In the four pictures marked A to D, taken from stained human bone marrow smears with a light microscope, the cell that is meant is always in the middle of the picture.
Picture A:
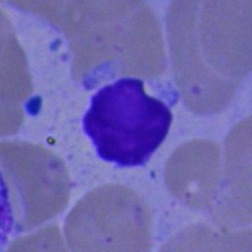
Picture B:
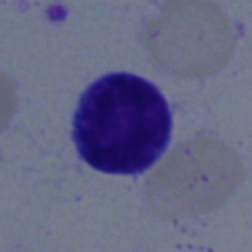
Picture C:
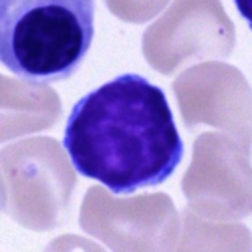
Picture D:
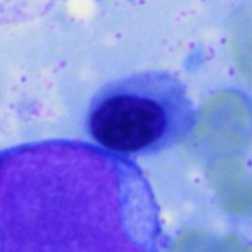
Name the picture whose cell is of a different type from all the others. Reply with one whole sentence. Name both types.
The different one is picture D; it shows an erythroblast, whereas all the others show lymphocytes.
